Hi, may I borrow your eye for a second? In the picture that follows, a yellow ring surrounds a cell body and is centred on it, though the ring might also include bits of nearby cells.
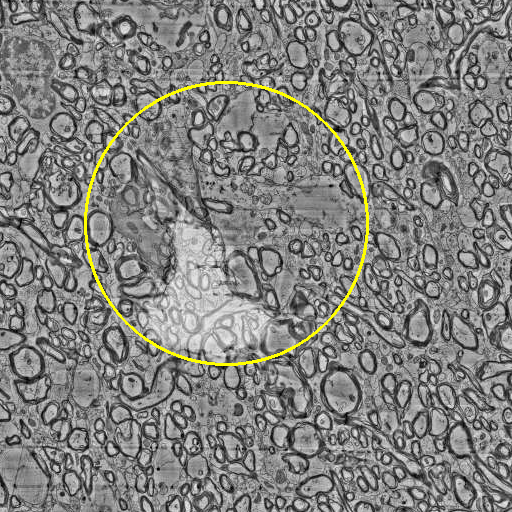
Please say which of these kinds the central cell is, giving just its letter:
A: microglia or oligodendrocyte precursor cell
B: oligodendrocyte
B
